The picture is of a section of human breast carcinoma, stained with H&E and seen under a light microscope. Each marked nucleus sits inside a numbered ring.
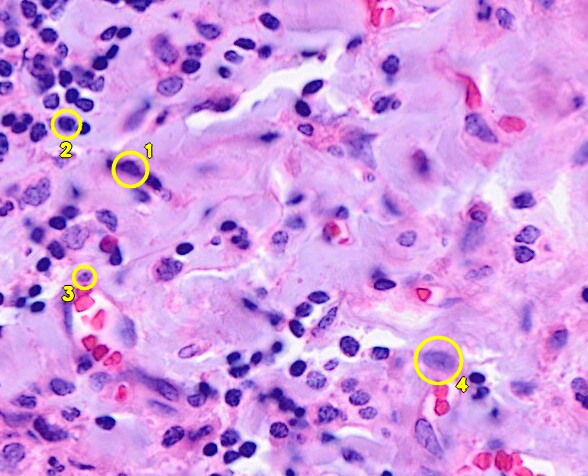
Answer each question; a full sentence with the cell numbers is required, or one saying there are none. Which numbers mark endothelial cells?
Cells 3 and 4 are classified as endothelial cells.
